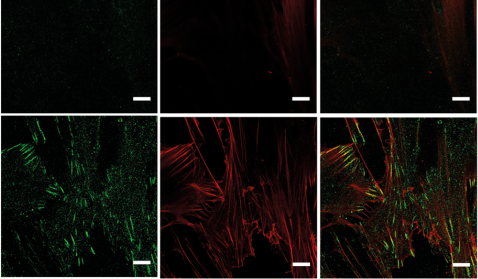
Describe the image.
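In the lower plane long, straight, roughly parallel red filament bundles cross the cell, and short elongated green streaks sit at their ends, partly appearing yellow where they overlap. The upper plane is almost dark, with only faint red filaments.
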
